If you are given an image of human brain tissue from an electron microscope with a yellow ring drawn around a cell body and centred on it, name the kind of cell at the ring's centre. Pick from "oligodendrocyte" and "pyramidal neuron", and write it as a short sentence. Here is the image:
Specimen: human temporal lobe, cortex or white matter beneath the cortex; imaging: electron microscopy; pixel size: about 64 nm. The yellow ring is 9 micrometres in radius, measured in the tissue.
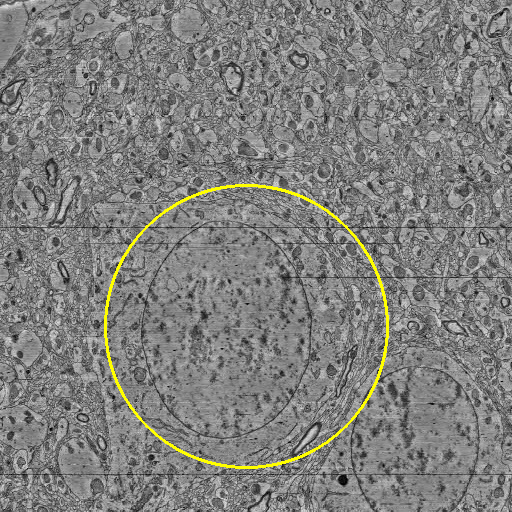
The cell at the ring's centre is a pyramidal neuron.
